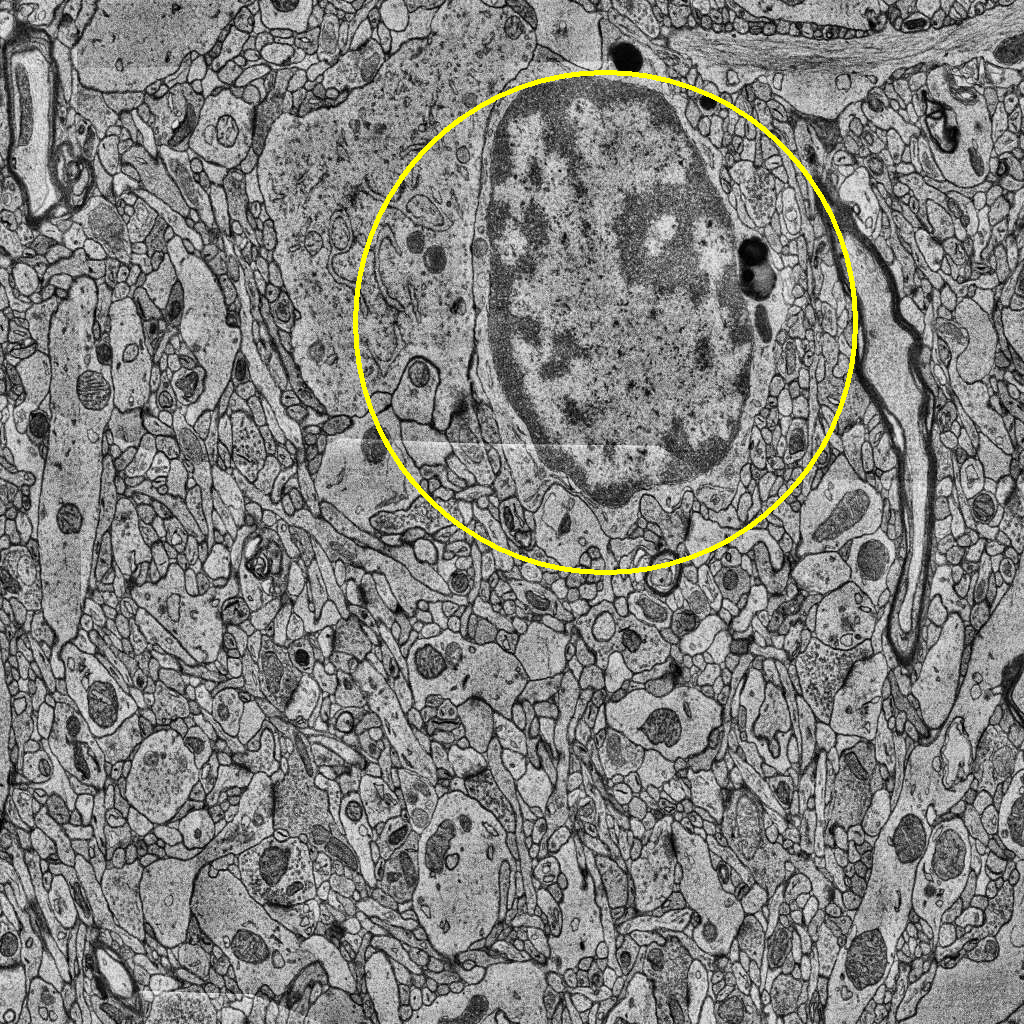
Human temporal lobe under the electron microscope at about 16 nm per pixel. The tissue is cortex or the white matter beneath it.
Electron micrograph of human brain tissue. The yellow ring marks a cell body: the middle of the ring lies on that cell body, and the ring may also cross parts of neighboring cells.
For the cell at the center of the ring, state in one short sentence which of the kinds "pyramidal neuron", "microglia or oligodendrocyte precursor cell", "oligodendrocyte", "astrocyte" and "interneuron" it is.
This ring's center lies on a microglial cell or oligodendrocyte precursor cell.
